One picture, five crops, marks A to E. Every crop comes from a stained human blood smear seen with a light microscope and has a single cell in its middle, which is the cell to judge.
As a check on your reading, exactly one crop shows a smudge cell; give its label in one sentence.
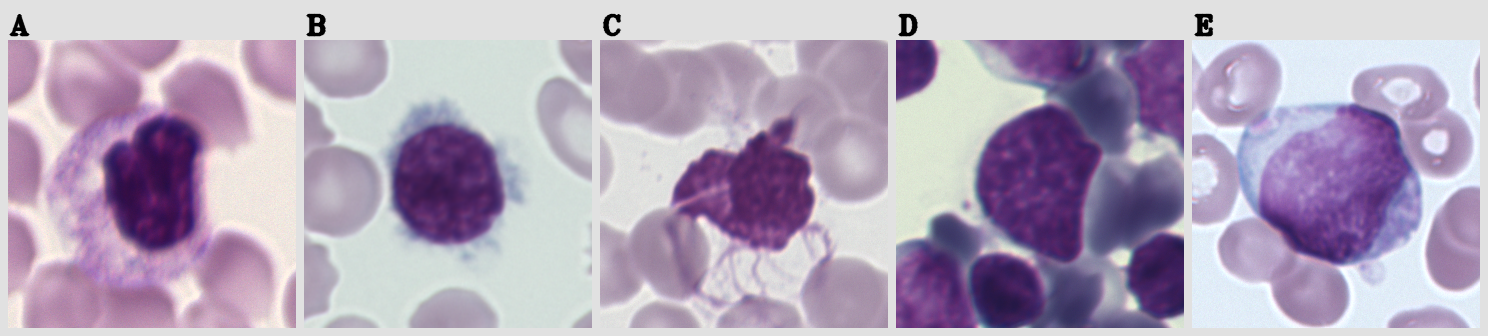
So the crop with a smudge cell at its center is crop C.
